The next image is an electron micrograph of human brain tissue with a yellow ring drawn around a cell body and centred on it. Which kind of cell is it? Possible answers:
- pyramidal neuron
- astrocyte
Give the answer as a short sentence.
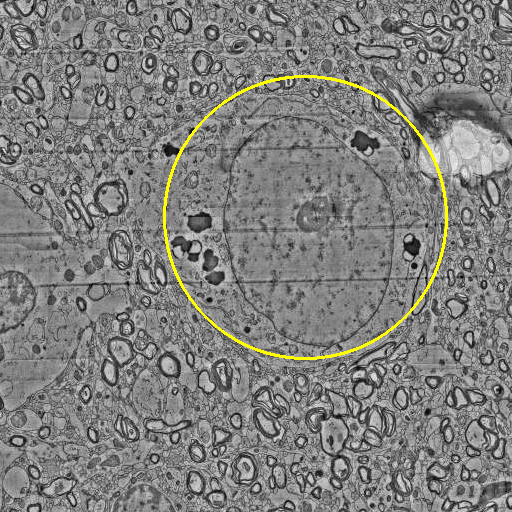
In the ring's centre is a pyramidal neuron.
